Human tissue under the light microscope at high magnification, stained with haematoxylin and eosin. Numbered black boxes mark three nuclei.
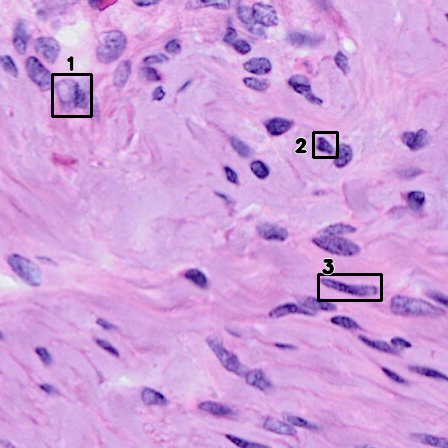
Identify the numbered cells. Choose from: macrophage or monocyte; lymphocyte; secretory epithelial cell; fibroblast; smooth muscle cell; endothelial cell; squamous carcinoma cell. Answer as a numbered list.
1. endothelial cell
2. fibroblast
3. fibroblast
